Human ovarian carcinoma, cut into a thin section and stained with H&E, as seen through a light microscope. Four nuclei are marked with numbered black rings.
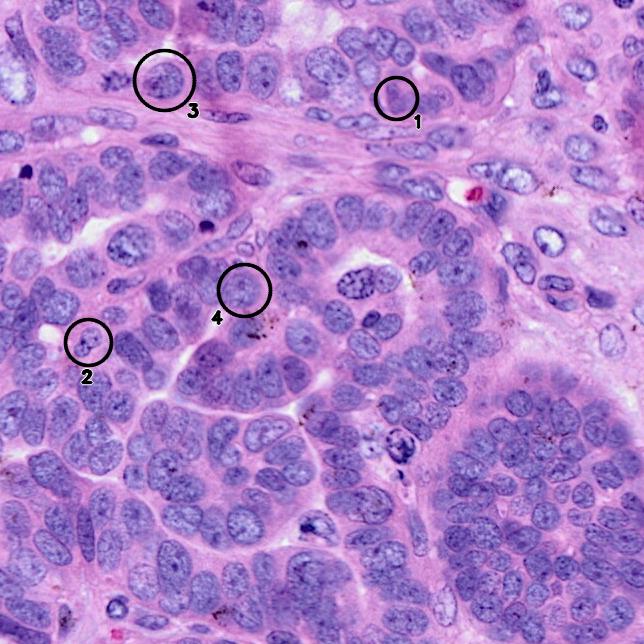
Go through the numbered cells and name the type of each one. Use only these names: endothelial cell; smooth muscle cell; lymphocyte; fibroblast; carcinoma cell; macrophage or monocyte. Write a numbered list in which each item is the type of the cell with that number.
1. carcinoma cell
2. macrophage or monocyte
3. carcinoma cell
4. carcinoma cell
